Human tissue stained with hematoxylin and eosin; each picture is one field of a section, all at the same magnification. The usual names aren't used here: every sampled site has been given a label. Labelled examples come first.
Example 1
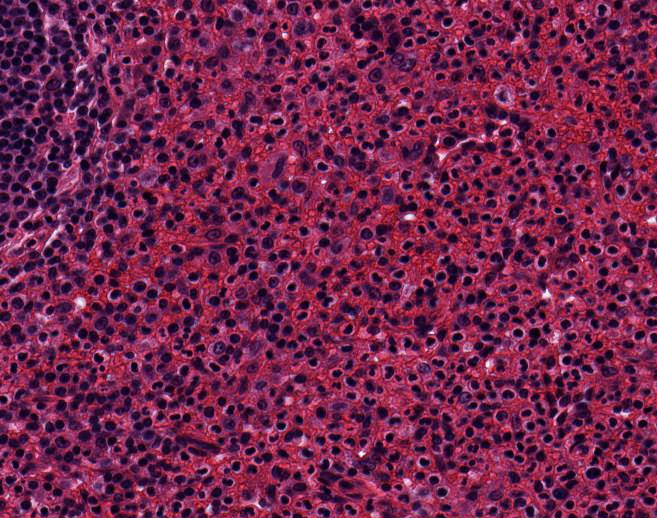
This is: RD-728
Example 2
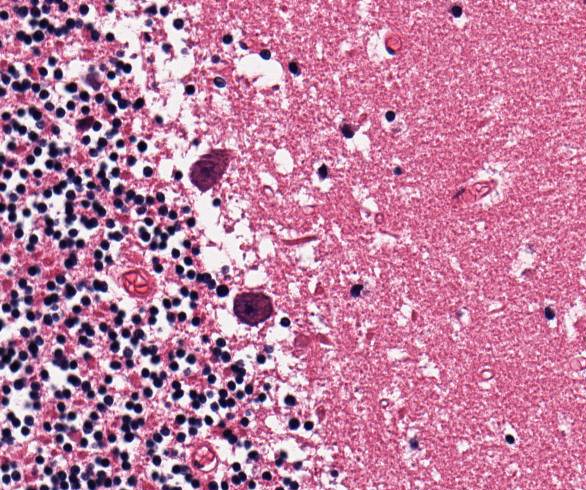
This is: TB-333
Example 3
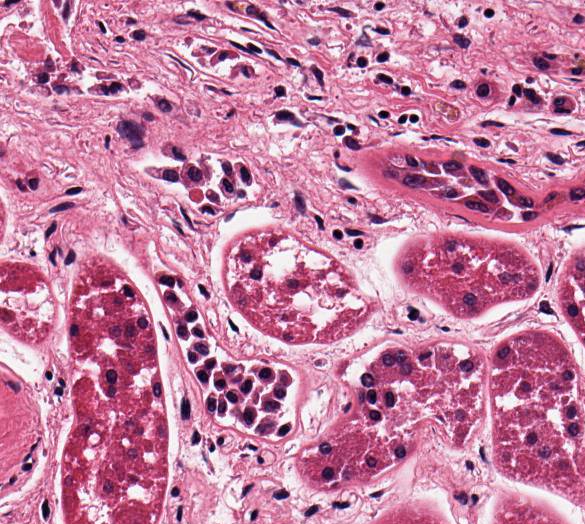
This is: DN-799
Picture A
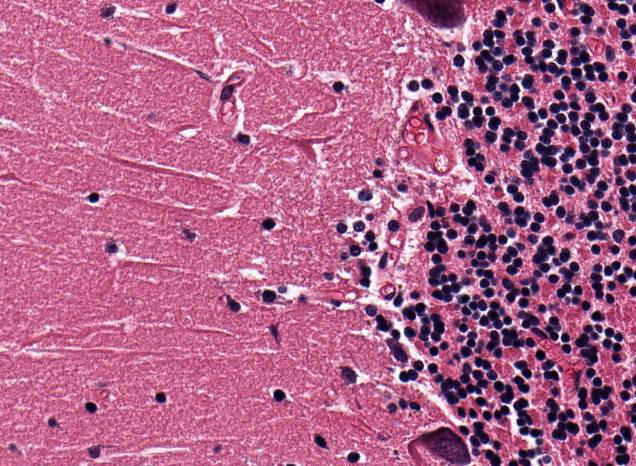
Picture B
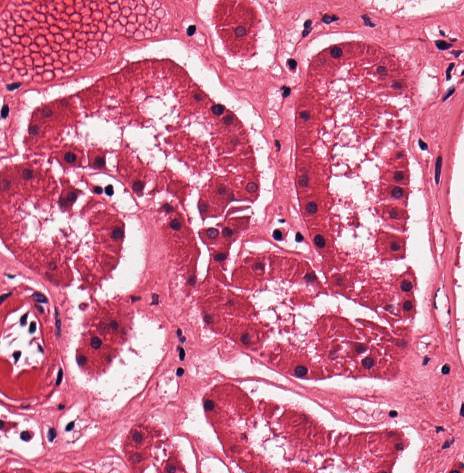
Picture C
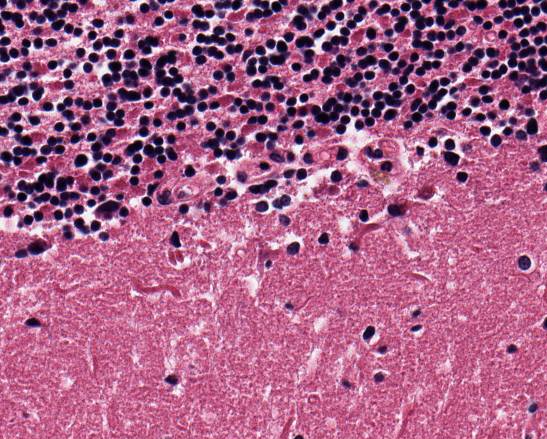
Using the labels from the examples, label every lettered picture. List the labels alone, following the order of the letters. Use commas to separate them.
TB-333, DN-799, TB-333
